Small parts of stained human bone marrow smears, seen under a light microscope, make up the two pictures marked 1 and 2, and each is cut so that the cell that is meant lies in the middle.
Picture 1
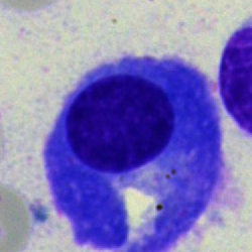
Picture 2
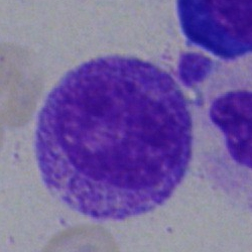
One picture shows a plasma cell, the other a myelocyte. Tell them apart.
1: plasma cell
2: myelocyte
